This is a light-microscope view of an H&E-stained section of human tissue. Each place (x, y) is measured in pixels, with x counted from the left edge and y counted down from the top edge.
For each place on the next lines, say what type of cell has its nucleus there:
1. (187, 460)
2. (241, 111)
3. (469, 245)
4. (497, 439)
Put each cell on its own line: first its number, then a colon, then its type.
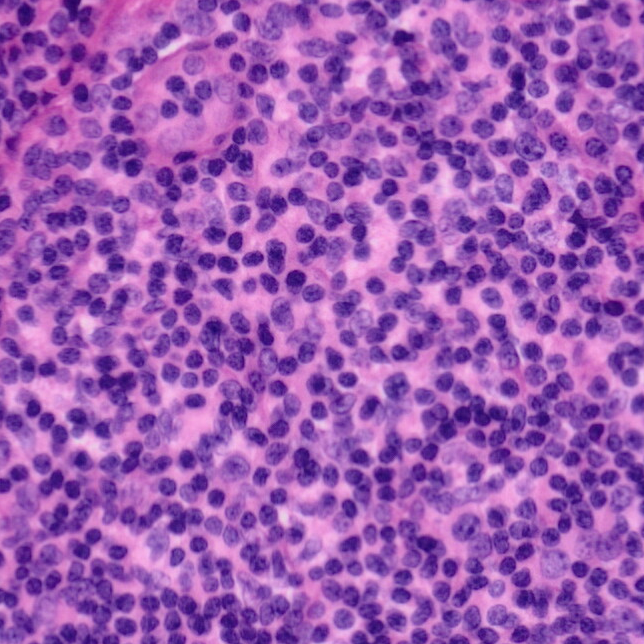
1: small lymphocyte
2: endothelial cell
3: small lymphocyte
4: small lymphocyte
